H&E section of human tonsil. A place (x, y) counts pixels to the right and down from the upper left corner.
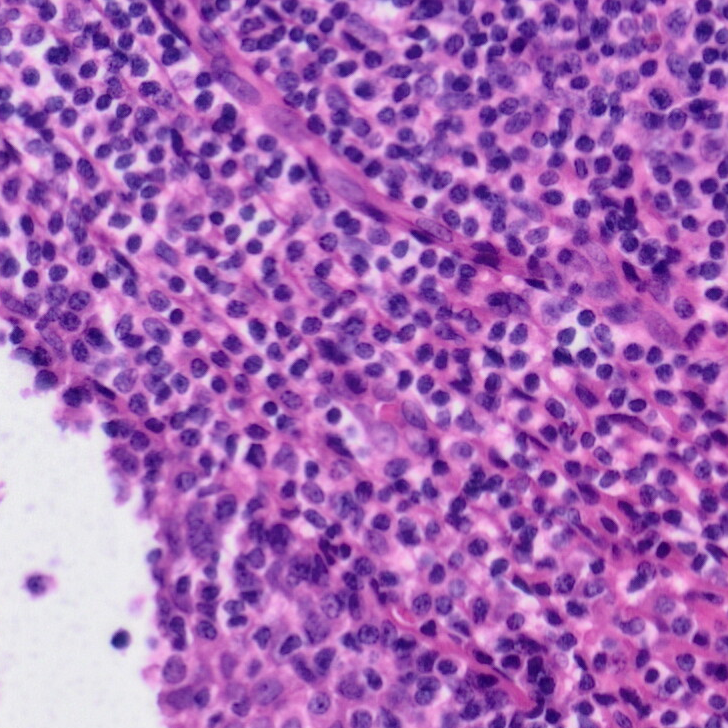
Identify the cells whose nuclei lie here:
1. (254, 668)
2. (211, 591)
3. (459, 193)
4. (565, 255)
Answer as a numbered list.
1. squamous epithelial cell
2. plasma cell
3. plasma cell
4. endothelial cell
